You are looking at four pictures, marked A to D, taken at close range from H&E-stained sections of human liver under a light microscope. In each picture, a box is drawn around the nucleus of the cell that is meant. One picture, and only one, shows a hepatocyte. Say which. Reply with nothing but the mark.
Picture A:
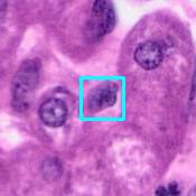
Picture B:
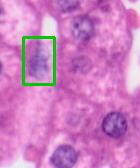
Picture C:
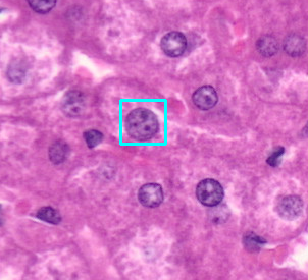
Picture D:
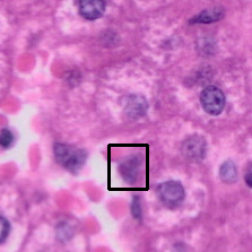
C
